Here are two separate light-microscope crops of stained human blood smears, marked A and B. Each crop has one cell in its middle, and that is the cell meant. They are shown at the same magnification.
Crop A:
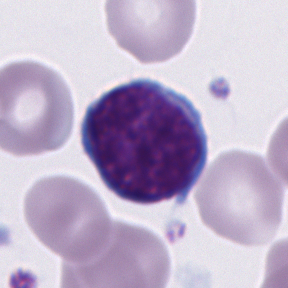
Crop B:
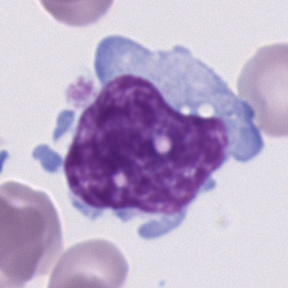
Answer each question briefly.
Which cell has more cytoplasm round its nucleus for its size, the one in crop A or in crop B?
B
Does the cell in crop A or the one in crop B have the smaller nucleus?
A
